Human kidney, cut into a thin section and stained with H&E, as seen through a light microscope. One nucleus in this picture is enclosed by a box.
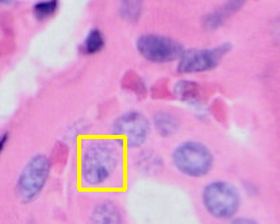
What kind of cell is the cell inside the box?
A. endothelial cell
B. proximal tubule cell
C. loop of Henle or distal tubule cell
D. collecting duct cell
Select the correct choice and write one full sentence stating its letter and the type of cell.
Of the options offered, D is correct, as the cell inside the box is a collecting duct cell.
